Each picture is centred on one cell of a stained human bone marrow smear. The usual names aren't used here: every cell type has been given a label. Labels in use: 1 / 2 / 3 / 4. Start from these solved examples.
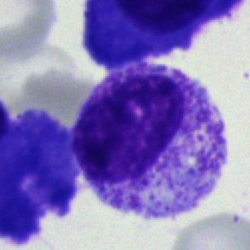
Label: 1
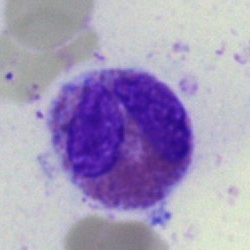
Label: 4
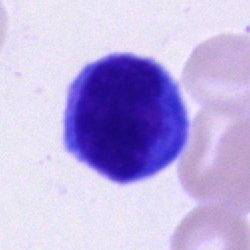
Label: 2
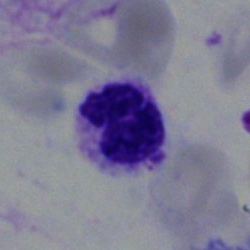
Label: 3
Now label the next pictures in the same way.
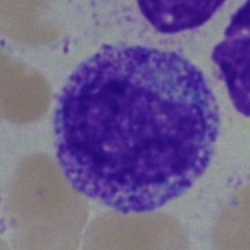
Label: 1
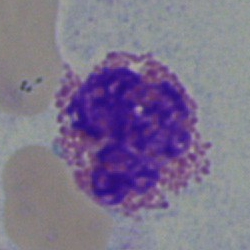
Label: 4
